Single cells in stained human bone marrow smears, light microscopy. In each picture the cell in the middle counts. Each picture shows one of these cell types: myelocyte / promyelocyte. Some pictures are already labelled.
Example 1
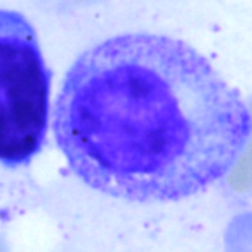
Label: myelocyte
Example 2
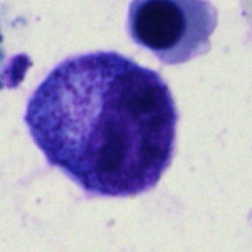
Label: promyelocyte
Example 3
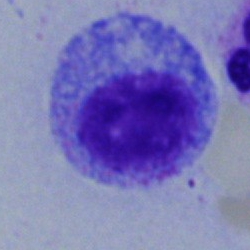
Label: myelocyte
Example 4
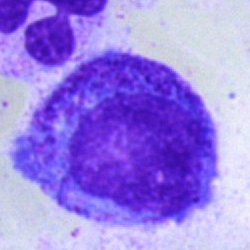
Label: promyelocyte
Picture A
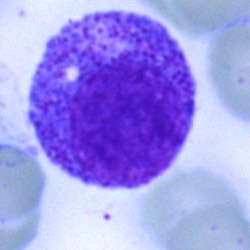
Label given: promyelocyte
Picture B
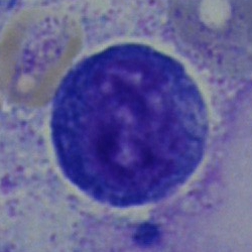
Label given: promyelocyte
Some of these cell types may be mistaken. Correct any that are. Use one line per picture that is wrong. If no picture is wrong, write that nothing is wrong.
No label is wrong.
